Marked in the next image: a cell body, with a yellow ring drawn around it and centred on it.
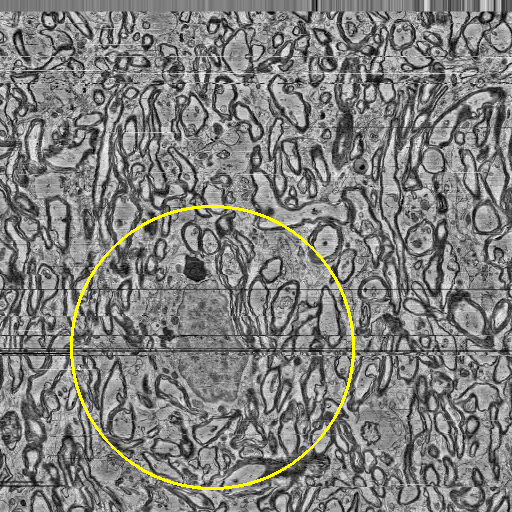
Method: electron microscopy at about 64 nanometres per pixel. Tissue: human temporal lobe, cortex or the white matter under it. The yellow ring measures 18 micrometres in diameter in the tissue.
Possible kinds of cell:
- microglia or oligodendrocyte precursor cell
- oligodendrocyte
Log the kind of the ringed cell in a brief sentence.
The ringed cell body is that of an oligodendrocyte.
